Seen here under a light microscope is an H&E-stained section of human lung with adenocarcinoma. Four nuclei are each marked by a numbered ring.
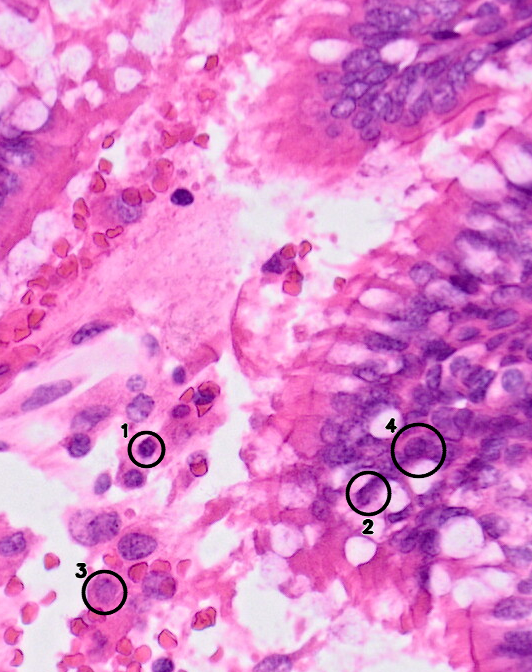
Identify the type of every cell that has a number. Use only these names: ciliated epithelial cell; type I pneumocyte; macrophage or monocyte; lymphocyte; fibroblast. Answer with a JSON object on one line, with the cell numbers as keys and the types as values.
{"1": "lymphocyte", "2": "ciliated epithelial cell", "3": "macrophage or monocyte", "4": "ciliated epithelial cell"}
